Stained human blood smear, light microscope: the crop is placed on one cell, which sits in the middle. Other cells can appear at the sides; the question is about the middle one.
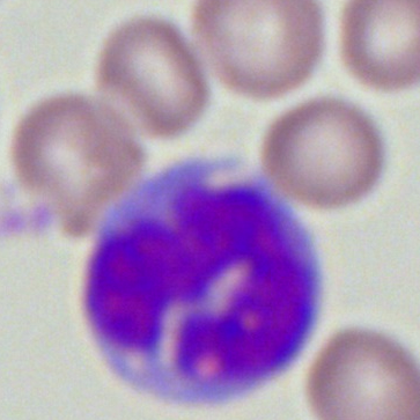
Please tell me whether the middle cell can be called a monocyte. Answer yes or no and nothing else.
yes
